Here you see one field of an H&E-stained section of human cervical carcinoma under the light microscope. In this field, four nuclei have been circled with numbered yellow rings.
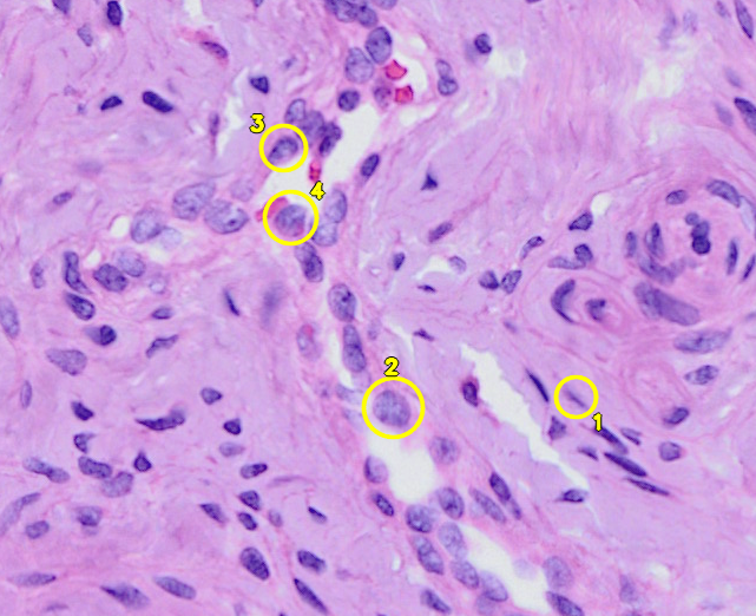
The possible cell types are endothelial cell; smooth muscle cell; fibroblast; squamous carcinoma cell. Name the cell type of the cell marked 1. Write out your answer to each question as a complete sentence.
The cell numbered 1 represents a fibroblast.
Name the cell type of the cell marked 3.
The cell that is numbered 3 is an endothelial cell.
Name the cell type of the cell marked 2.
Here, the cell given the number 2 is an endothelial cell.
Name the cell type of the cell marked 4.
The cell assigned the number 4 is an endothelial cell.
